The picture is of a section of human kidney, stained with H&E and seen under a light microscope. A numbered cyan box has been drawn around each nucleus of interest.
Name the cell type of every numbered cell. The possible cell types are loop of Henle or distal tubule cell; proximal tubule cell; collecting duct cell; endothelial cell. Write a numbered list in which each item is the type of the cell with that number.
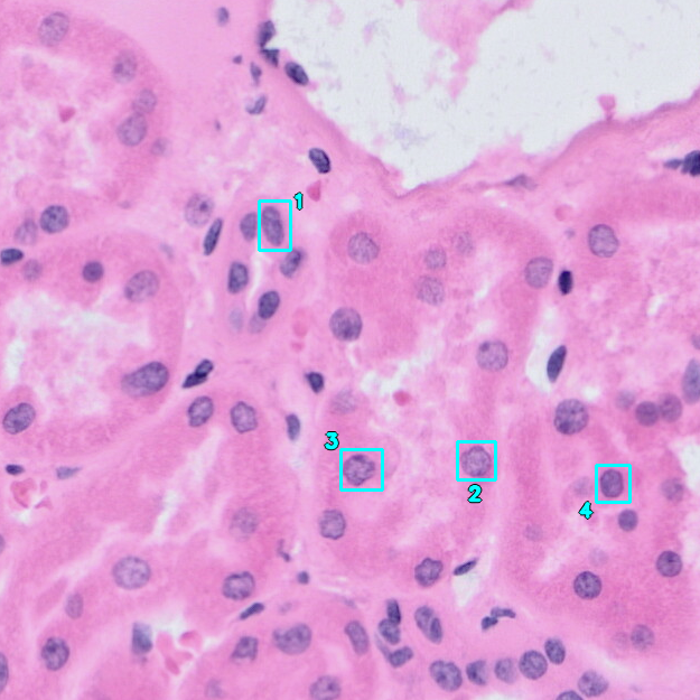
1. collecting duct cell
2. proximal tubule cell
3. proximal tubule cell
4. proximal tubule cell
